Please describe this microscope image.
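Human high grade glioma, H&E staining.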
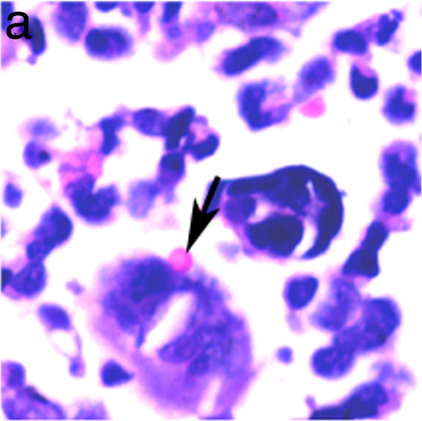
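A small, round, bright pink body sits on the surface of this giant cell. The surrounding cells have small, dark, irregular nuclei and lie loosely in a pale background.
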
